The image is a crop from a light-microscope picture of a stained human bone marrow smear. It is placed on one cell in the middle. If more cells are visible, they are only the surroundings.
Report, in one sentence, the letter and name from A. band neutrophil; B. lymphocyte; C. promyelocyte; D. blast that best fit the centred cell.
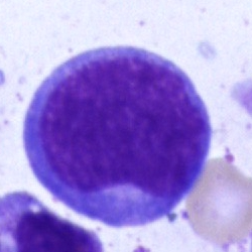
Of the options given, D is correct, the central cell being a blast.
